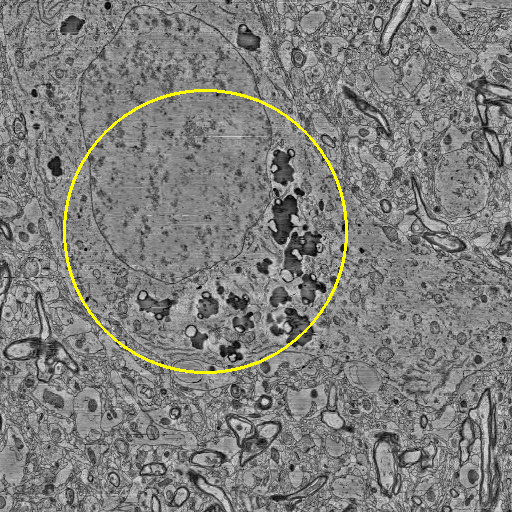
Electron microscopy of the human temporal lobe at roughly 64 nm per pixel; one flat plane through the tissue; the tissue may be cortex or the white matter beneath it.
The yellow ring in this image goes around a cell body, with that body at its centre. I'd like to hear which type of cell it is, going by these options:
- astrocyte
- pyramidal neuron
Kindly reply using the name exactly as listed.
pyramidal neuron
